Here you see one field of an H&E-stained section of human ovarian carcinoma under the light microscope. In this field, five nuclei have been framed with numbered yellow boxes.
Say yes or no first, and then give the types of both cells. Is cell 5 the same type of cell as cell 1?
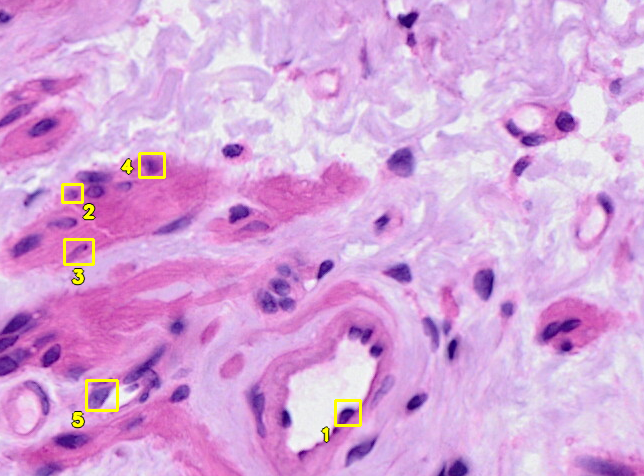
Yes, both cells, 5 and 1, are endothelial cells.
